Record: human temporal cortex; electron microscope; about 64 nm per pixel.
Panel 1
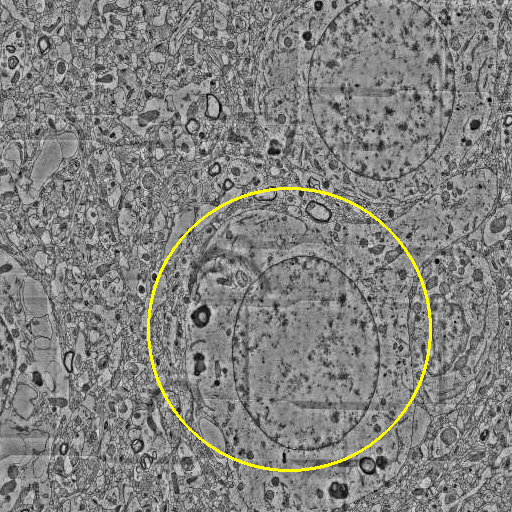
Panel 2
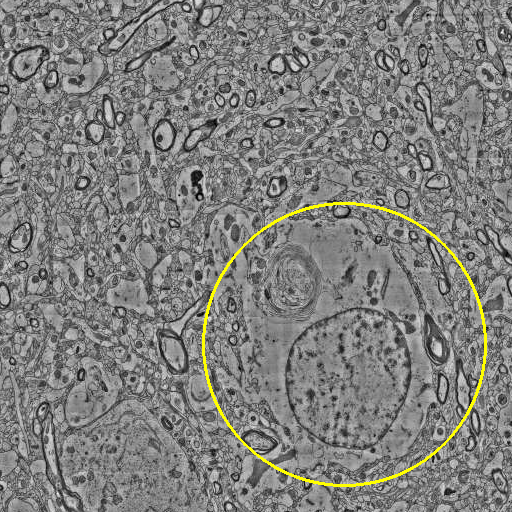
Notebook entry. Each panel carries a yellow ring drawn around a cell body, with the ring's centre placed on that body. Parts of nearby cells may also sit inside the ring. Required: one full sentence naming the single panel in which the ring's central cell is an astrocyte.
Panel 2 is the single one with the sought cell at its ring's centre.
